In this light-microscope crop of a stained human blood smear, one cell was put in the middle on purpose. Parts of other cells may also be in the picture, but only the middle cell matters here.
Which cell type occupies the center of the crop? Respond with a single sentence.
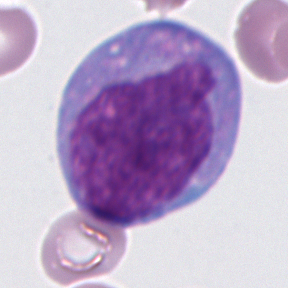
Occupying the centre of the crop is an atypical promyelocyte.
